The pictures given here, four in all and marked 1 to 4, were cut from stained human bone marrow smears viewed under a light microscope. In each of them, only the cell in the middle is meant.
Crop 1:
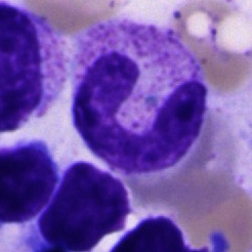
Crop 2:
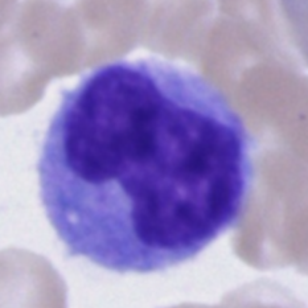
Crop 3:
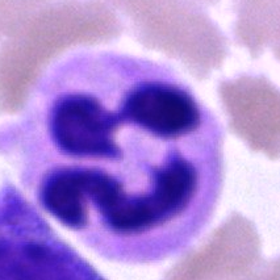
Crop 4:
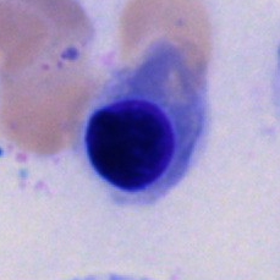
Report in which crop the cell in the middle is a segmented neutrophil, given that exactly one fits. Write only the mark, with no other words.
3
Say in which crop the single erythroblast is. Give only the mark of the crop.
4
